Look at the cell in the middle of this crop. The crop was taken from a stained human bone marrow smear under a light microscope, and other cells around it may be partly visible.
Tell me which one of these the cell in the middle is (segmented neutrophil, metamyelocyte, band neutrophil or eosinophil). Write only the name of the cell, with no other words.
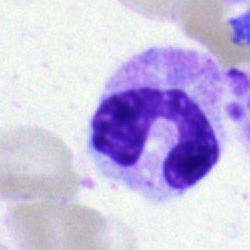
band neutrophil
